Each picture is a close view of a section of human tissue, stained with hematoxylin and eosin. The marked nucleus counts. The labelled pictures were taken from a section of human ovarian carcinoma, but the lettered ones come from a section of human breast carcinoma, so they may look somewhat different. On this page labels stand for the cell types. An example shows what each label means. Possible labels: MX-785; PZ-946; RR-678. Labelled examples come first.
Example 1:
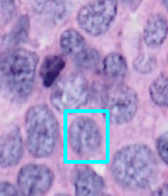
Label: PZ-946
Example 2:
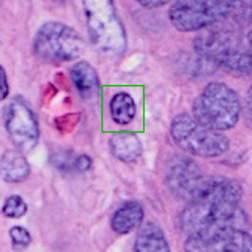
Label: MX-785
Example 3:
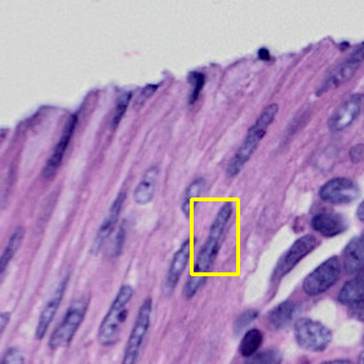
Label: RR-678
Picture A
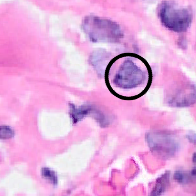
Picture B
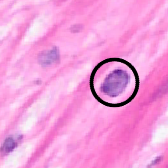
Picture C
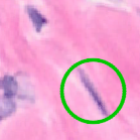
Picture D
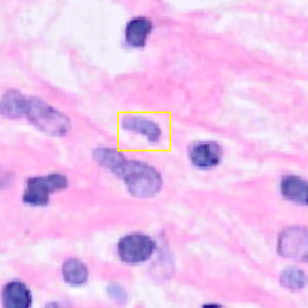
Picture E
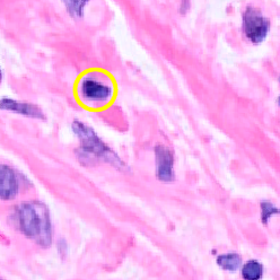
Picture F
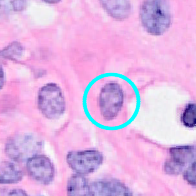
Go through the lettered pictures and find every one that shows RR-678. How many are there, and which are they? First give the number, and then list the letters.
Count: 1 (C)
